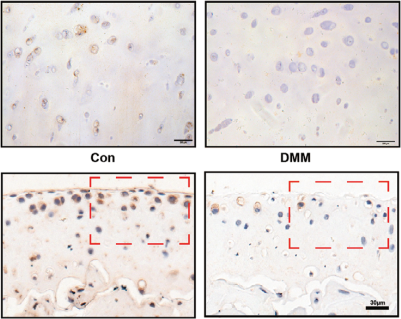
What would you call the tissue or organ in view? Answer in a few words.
cartilage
